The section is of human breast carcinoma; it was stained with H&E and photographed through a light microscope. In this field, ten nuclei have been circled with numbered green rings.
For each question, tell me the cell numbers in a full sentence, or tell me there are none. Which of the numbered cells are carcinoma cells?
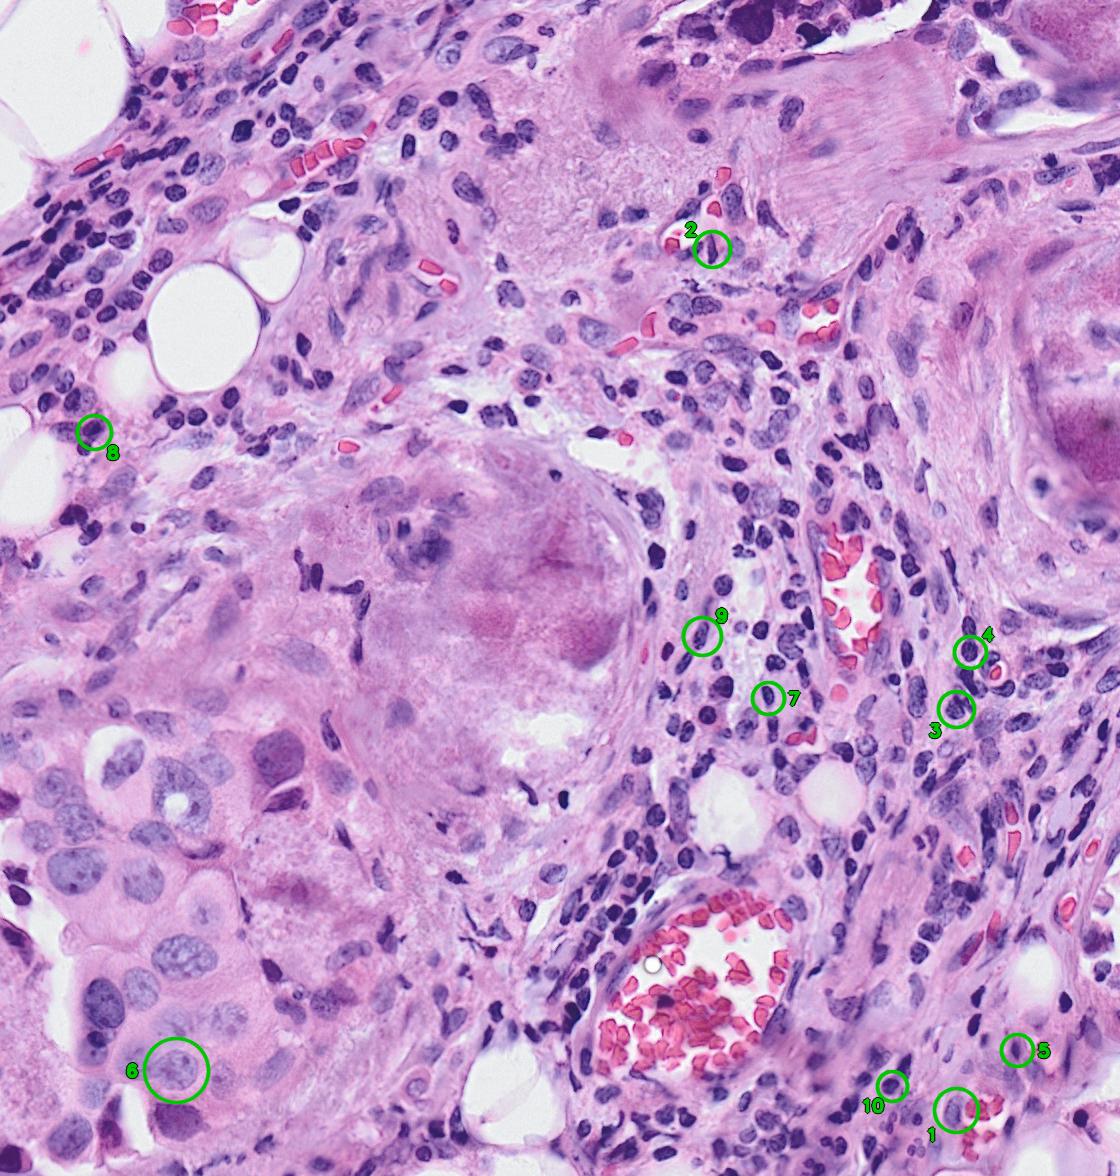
Only cell 6 should be marked as a carcinoma cell.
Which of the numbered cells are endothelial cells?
Cells 1, 2 and 5 are endothelial cells by cell type.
